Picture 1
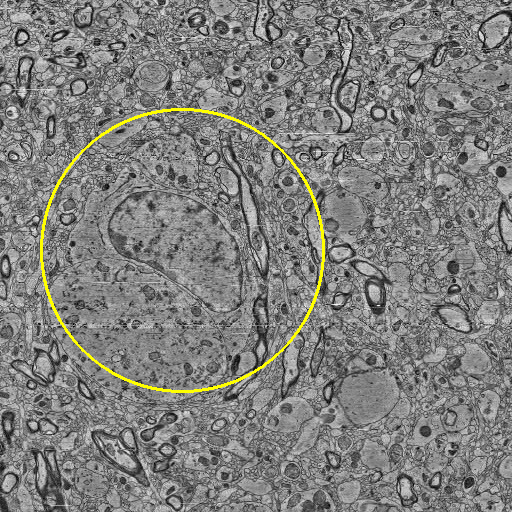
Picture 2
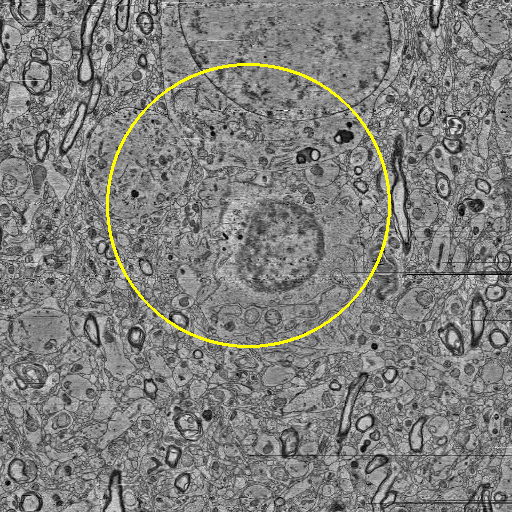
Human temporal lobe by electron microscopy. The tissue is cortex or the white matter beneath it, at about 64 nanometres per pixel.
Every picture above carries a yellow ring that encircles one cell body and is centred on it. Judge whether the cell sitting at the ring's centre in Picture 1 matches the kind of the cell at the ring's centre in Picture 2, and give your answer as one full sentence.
Yes, the cells centred in the rings of Pictures 1 and 2 belong to one kind.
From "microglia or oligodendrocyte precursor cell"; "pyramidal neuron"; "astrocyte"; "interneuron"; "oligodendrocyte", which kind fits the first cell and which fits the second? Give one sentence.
The cell in the first picture is a microglial cell or oligodendrocyte precursor cell, and so is the one in the second.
